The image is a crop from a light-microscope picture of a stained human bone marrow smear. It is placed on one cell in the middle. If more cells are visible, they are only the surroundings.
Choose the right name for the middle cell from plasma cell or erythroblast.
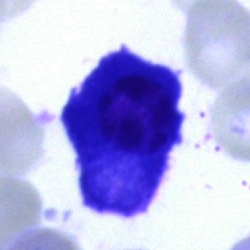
plasma cell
